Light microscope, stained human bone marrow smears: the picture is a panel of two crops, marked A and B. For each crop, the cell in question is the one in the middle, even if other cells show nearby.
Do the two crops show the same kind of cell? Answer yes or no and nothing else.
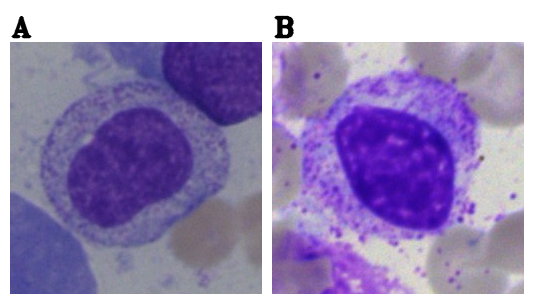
yes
